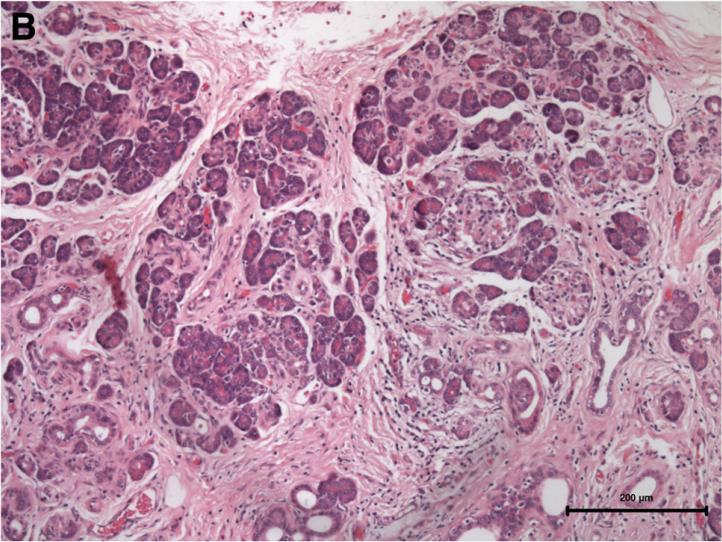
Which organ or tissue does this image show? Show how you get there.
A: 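Clusters of acini with dark purple cytoplasm grouped in lobules. Broad pink fibrous stroma with ducts between lobules. That points to this answer: exocrine pancreas.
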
